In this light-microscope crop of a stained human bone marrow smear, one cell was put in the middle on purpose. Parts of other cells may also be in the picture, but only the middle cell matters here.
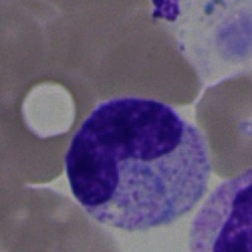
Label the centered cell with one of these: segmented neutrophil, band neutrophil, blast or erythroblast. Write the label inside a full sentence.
The target cell in the middle of the crop is a band neutrophil.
